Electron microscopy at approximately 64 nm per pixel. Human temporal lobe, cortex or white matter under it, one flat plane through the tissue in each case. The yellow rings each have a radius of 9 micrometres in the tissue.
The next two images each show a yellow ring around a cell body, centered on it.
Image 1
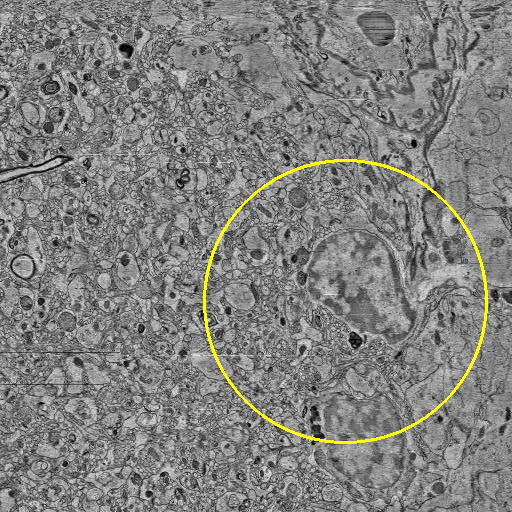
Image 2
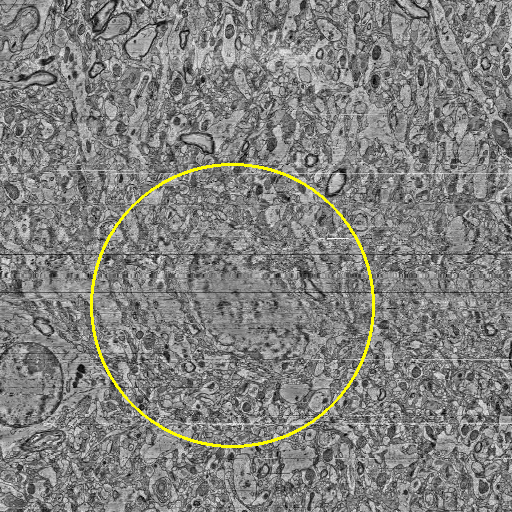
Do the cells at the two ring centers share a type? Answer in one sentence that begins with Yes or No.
No, across the two images the cells at the ring centers are of two types.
